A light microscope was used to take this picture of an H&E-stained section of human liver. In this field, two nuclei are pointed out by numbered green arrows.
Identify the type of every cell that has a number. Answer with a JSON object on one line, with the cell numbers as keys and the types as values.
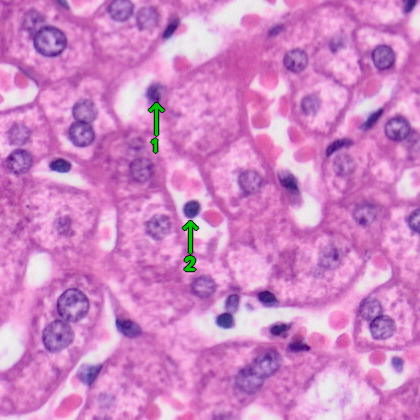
{"1": "Kupffer cell", "2": "lymphocyte"}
